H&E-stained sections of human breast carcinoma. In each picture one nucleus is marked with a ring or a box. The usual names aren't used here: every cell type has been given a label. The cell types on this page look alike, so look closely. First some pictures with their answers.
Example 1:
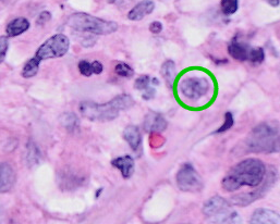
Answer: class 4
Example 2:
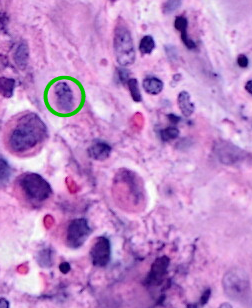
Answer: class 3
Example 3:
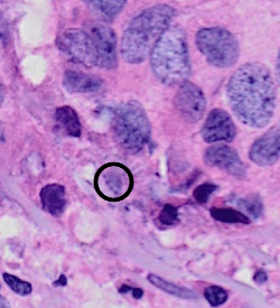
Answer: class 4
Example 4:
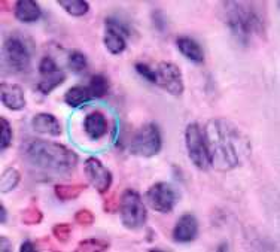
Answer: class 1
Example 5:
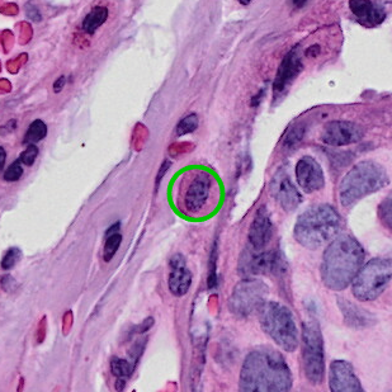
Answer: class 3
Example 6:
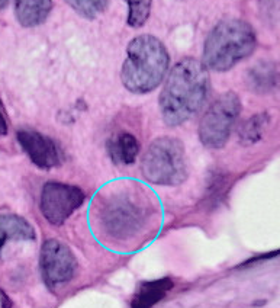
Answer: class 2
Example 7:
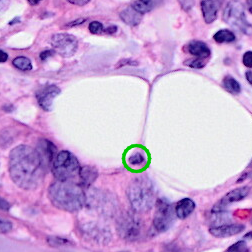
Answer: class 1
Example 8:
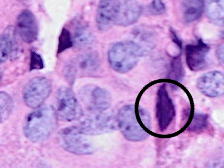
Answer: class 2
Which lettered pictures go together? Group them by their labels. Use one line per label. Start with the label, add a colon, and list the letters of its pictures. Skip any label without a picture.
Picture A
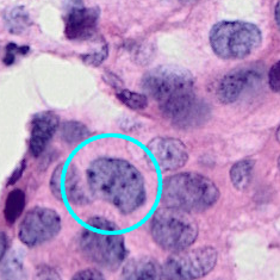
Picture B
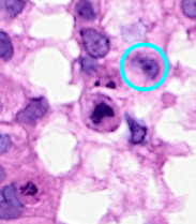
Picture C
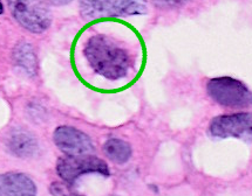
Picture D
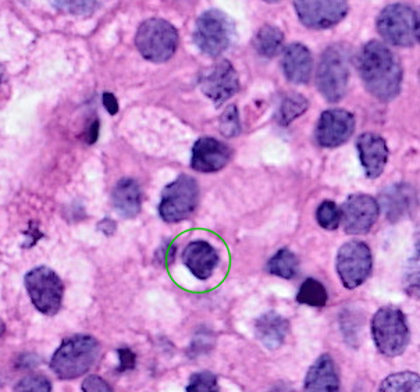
class 4: B
class 2: A, C, D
